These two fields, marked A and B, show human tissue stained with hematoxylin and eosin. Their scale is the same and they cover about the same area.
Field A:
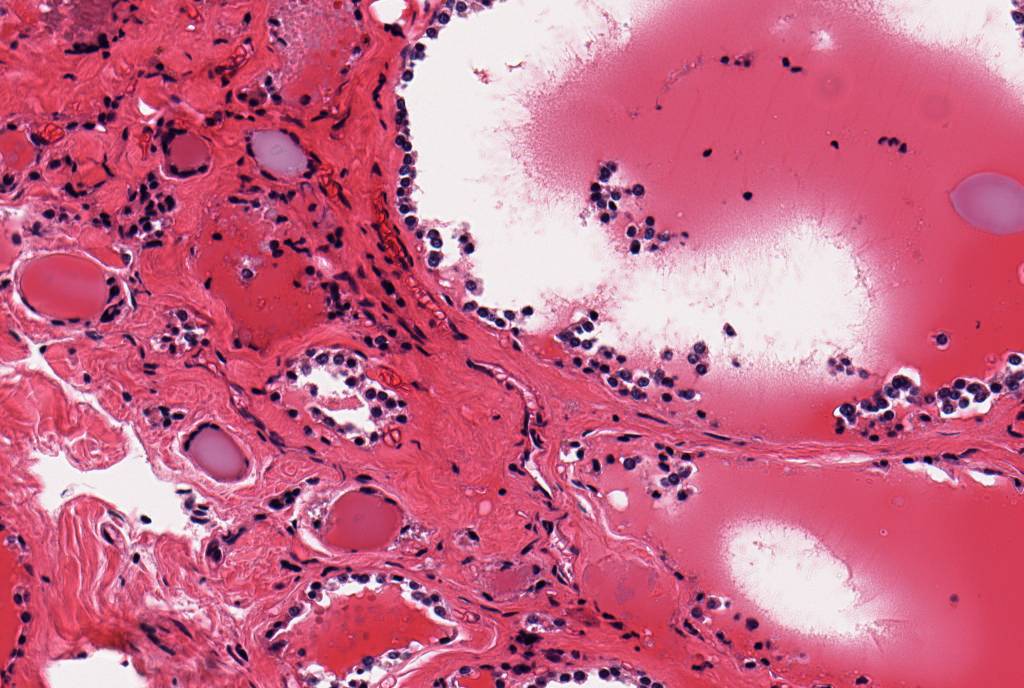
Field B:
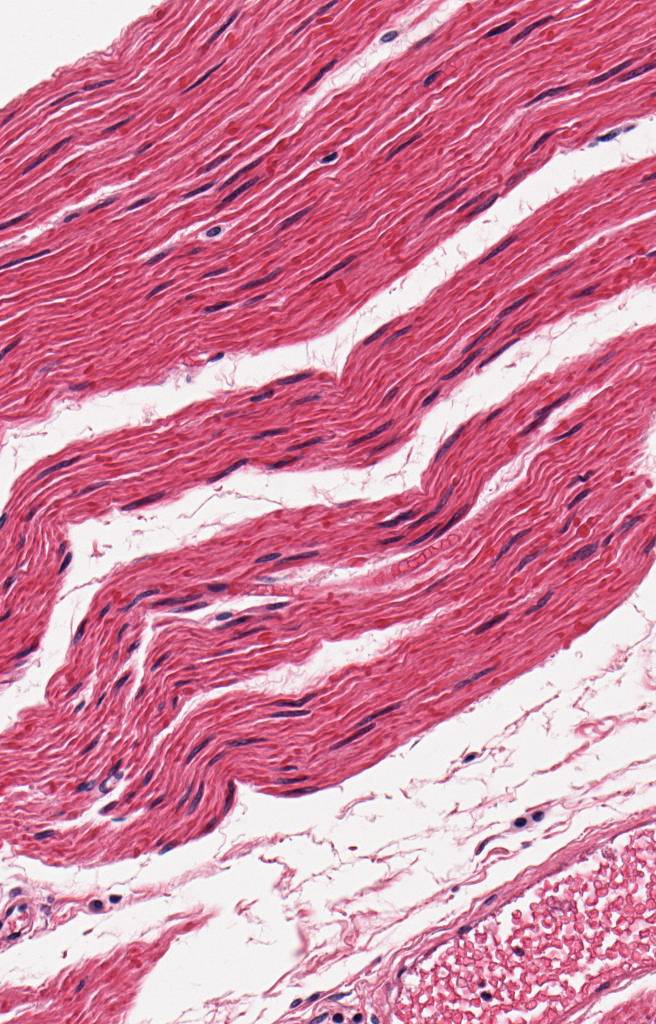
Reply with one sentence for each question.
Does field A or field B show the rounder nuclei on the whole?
On the whole the nuclei of field A are rounder than those of field B.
